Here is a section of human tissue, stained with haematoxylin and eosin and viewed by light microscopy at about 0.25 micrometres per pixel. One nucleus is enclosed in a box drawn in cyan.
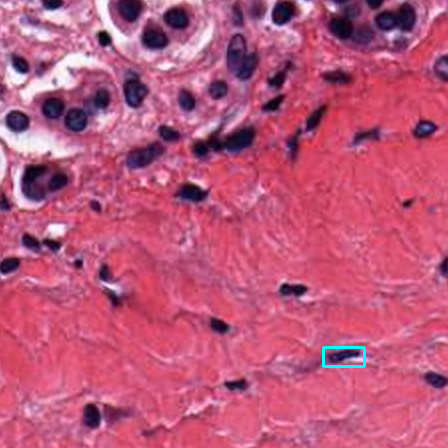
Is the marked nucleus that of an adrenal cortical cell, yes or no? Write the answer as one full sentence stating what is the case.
No, the marked nucleus is not borne by an adrenal cortical cell; it is borne by a supporting cell.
